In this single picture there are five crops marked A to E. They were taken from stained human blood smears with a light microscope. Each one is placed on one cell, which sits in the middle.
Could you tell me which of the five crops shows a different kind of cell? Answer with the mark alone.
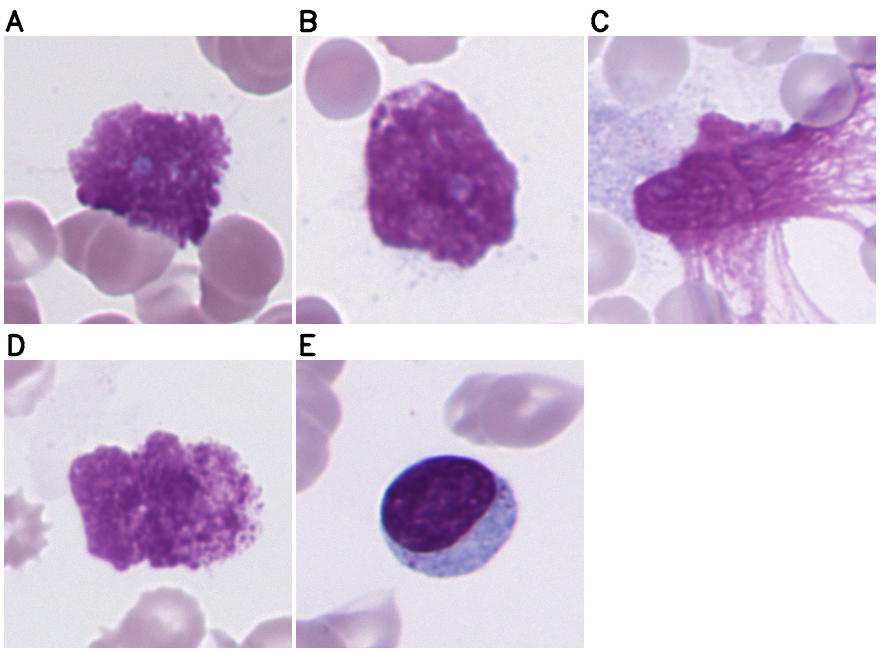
E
